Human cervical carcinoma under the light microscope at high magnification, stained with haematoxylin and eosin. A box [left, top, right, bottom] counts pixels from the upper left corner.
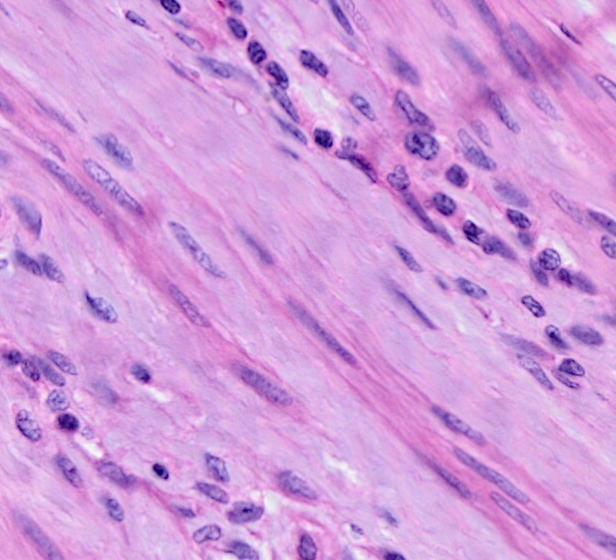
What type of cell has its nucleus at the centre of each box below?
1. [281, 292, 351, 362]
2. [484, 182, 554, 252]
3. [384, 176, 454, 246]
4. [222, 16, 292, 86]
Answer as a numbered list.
1. smooth muscle cell
2. lymphocyte
3. endothelial cell
4. lymphocyte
